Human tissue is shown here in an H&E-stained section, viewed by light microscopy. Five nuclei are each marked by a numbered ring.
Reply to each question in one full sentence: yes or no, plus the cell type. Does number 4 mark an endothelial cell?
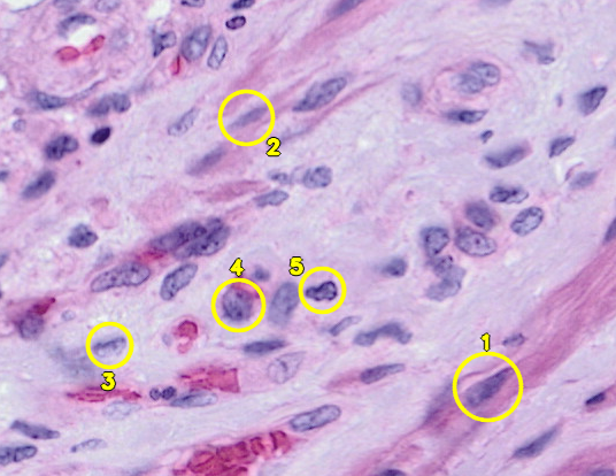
Yes, the cell sitting at number 4 is an endothelial cell.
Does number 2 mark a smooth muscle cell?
Yes, and to answer plainly, cell 2 is a smooth muscle cell.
